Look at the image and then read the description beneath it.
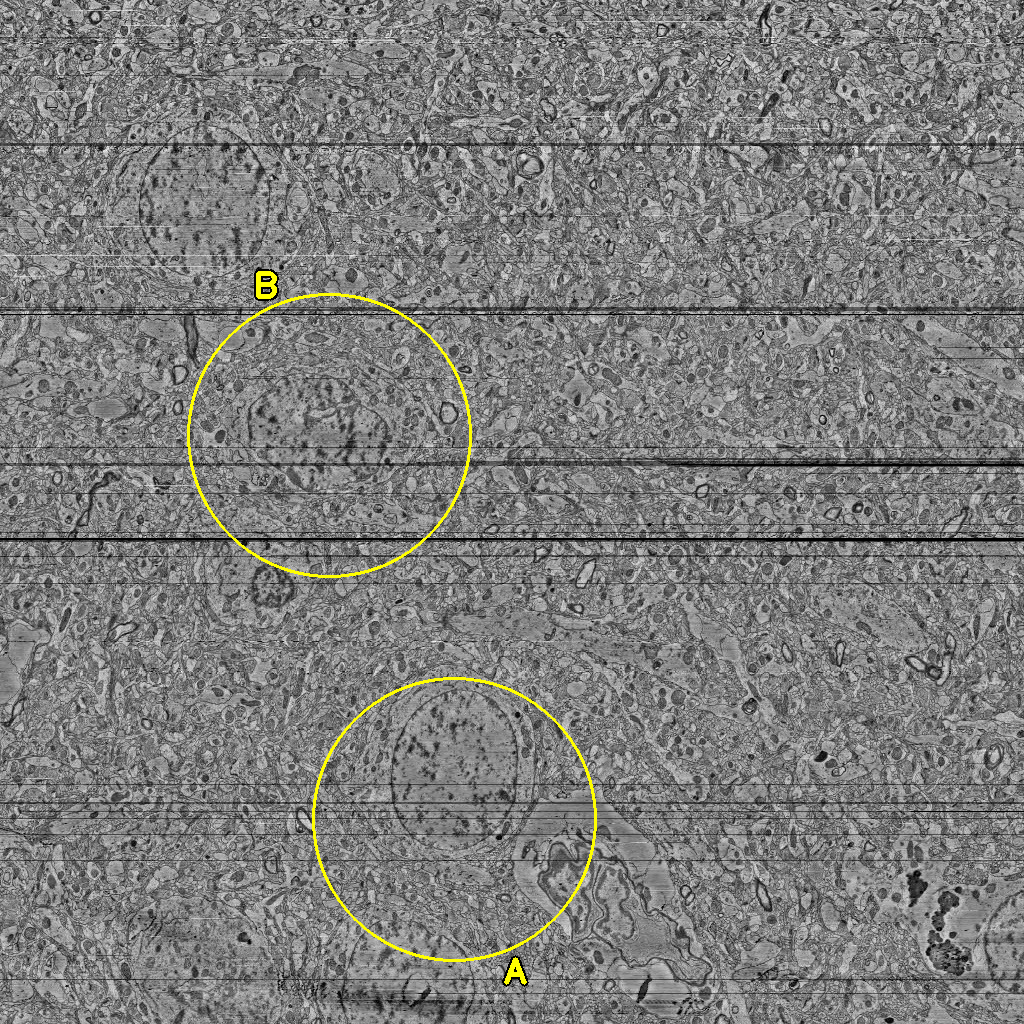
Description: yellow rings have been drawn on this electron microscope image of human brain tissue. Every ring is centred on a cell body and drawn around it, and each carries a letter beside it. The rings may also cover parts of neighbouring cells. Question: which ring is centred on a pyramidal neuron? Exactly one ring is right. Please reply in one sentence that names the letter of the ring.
It is ring A.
